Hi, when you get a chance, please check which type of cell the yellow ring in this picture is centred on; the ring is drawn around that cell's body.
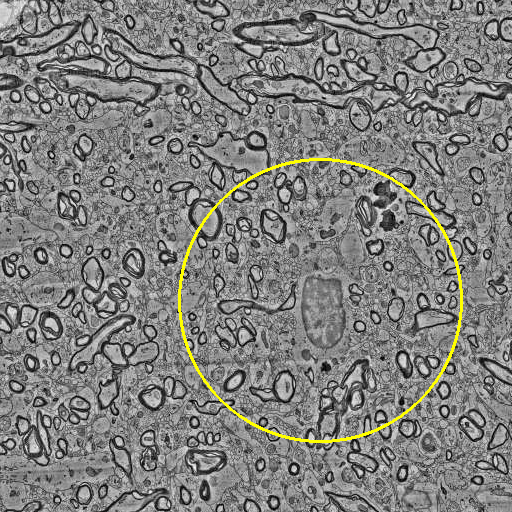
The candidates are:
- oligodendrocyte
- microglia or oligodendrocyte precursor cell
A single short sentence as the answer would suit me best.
The ring is drawn around the body of an oligodendrocyte.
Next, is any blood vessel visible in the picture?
No, there is none.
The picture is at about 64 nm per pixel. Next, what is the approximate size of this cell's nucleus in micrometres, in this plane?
The nucleus appears roughly 5 by 3 micrometres in this plane.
